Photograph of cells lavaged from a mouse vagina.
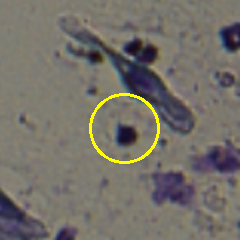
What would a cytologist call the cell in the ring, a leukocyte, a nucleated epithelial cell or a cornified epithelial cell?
A cytologist would call it a leukocyte.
